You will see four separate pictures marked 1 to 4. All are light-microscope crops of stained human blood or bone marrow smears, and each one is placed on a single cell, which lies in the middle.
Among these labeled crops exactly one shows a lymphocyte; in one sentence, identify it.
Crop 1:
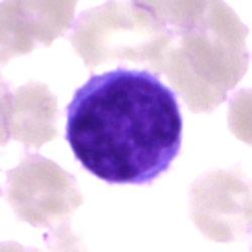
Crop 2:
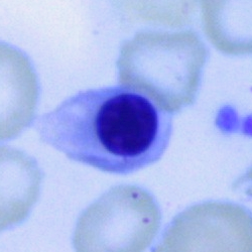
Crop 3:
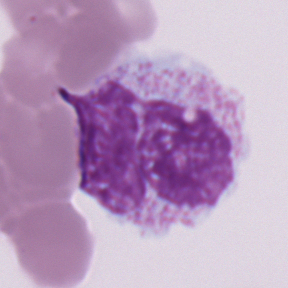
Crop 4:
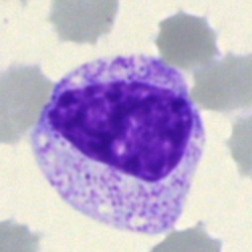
Crop 1 is the one to choose: it shows a lymphocyte.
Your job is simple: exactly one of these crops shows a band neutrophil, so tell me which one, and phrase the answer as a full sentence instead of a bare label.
Crop 3 is the one in the set with a band neutrophil at the center.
